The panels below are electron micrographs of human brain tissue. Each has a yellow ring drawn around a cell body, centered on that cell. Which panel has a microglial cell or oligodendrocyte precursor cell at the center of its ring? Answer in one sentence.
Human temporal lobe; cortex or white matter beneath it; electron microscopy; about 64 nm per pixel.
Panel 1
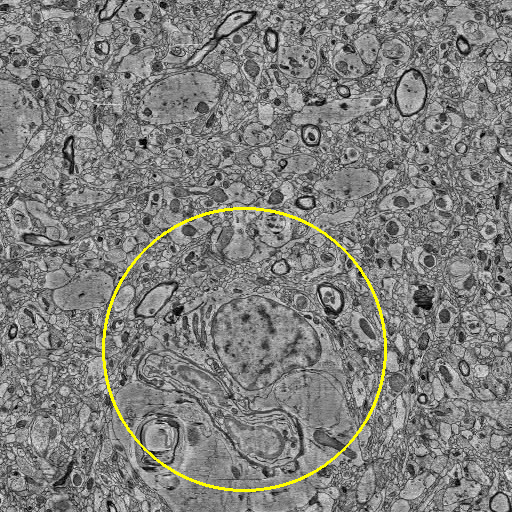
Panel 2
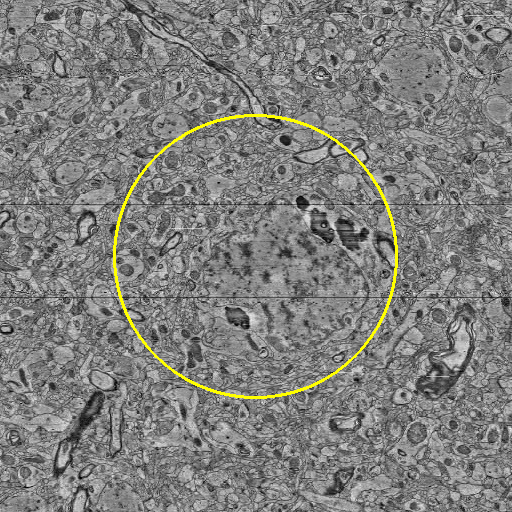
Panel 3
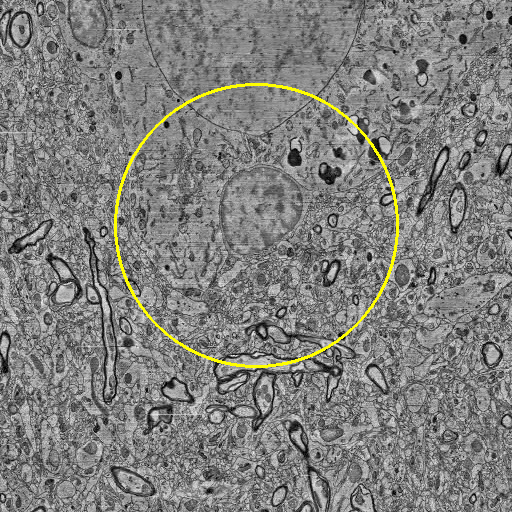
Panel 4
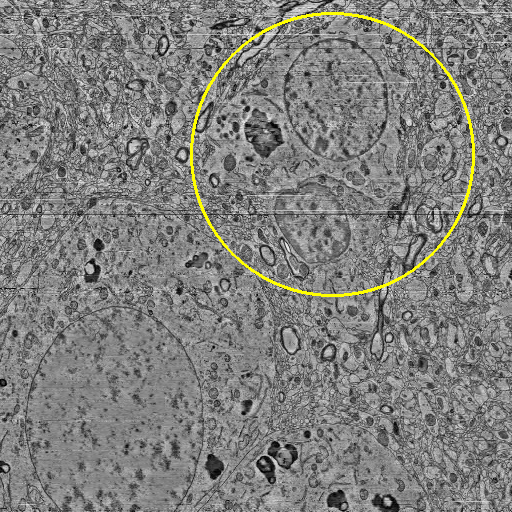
Panel 1 has it at the center of its ring.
